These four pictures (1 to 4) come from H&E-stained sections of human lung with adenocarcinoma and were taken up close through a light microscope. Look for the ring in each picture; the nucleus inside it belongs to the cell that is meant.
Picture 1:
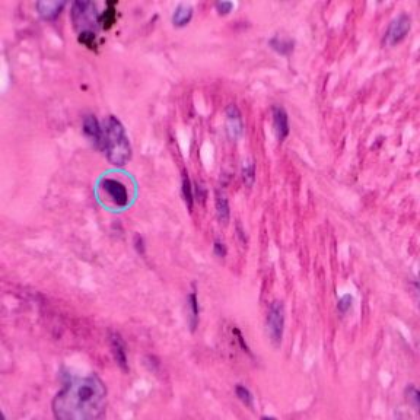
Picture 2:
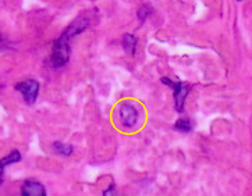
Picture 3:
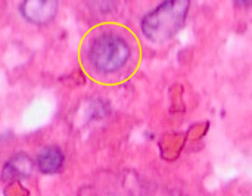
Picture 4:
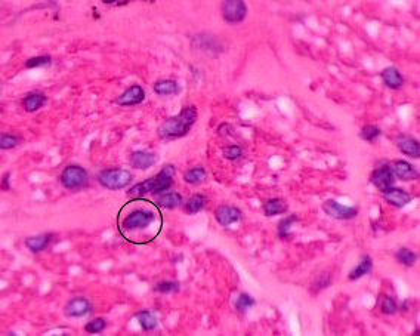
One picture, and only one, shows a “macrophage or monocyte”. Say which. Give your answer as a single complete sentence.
The cell in picture 3 is the “macrophage or monocyte”.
